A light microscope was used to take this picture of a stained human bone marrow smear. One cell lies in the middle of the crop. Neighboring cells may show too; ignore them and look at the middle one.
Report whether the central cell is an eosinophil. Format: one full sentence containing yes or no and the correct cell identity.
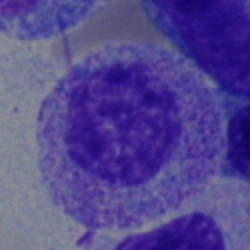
No, rather than an eosinophil, the central cell is a myelocyte.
